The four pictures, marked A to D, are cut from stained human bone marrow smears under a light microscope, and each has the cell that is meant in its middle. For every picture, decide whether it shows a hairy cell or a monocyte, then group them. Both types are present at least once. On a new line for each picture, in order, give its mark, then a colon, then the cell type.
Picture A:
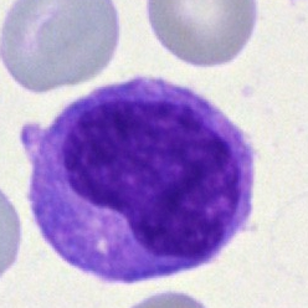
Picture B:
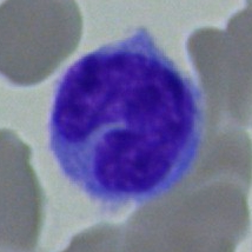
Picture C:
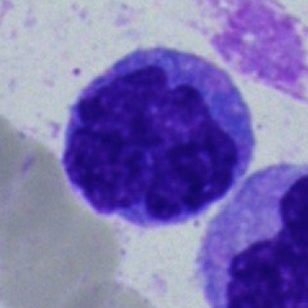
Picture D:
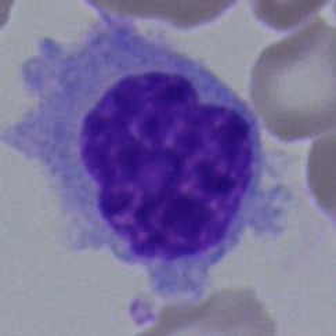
A: monocyte
B: monocyte
C: monocyte
D: hairy cell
